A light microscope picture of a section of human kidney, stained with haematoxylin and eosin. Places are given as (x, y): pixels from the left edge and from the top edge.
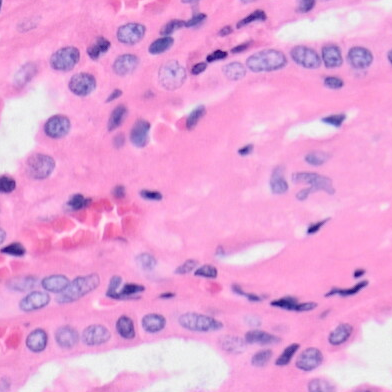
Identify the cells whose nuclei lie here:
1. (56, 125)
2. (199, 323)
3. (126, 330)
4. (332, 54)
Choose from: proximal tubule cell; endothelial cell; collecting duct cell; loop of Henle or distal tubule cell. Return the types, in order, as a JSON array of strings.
["loop of Henle or distal tubule cell", "collecting duct cell", "collecting duct cell", "collecting duct cell"]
